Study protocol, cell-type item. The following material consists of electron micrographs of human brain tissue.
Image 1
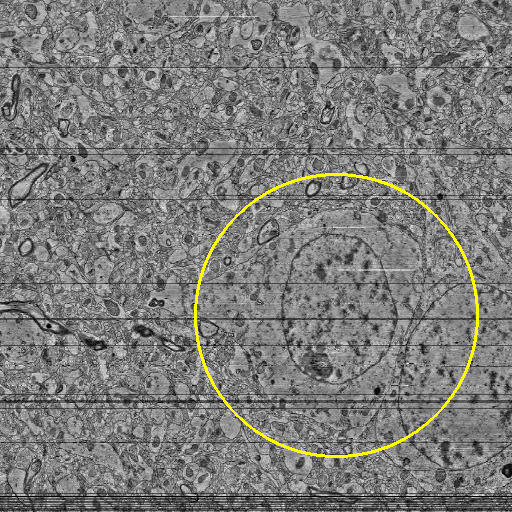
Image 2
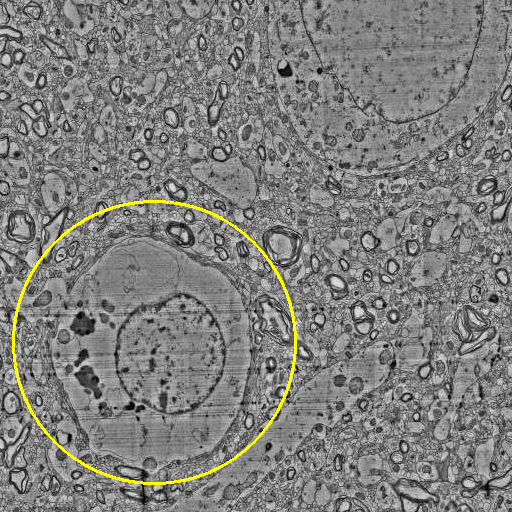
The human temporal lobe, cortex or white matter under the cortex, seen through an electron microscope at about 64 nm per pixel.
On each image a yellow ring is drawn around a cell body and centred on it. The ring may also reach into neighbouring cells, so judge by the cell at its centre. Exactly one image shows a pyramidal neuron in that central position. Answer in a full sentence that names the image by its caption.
The cell at the centre of the ring in Image 1 is of that kind.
